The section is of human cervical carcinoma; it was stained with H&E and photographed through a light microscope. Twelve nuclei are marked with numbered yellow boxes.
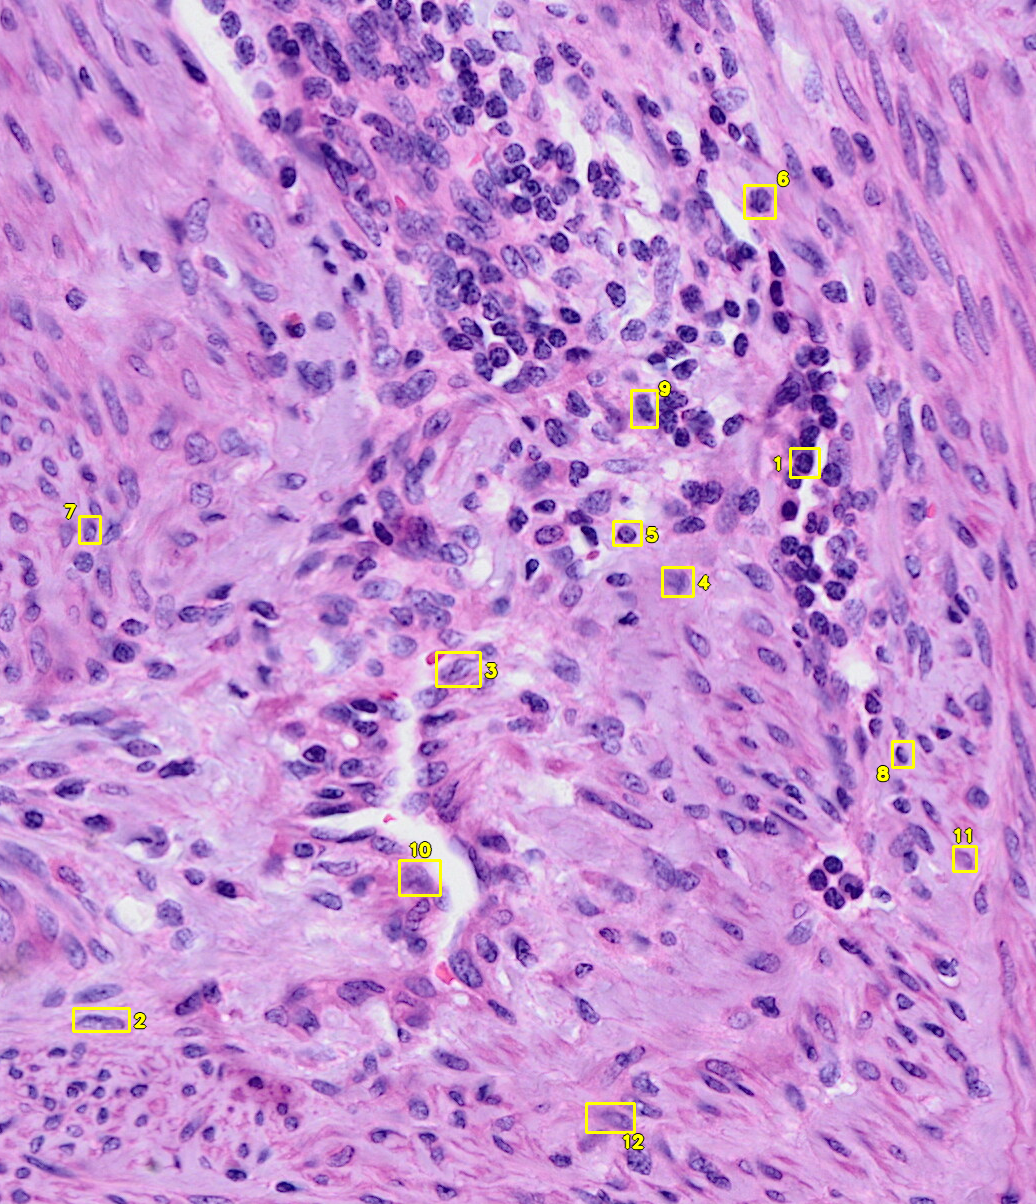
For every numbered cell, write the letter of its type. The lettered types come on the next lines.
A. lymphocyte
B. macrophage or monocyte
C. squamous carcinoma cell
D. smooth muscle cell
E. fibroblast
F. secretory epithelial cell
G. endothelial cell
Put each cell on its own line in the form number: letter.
1: A
2: E
3: G
4: E
5: A
6: A
7: D
8: E
9: A
10: G
11: D
12: D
